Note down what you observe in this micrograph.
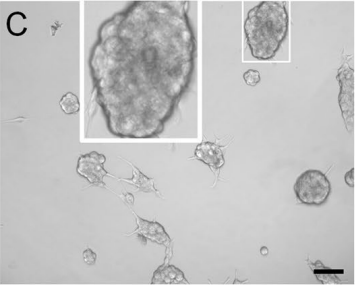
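A few cells remain single or in small loose groups with short processes. Between the clusters much of the surface is bare.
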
